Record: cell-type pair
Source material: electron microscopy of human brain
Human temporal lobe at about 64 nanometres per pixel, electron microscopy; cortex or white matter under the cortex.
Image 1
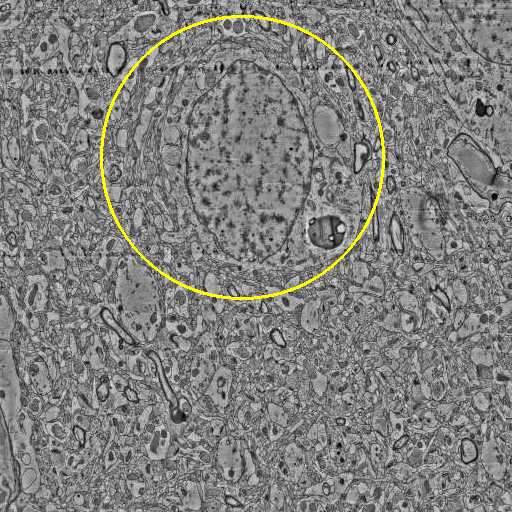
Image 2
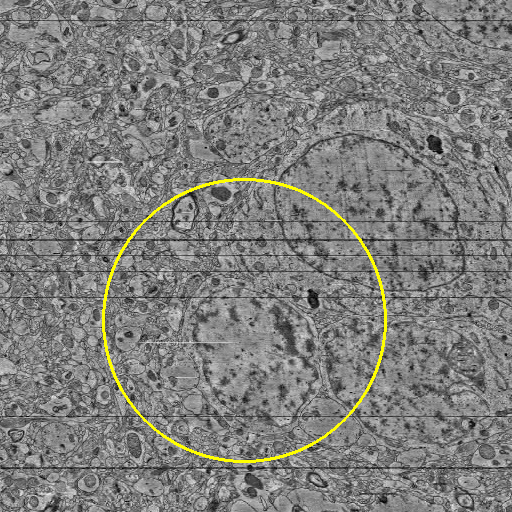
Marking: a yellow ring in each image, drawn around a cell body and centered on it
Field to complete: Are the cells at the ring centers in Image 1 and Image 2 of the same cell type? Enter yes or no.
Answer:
yes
